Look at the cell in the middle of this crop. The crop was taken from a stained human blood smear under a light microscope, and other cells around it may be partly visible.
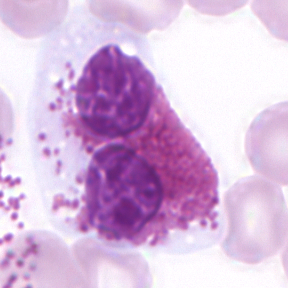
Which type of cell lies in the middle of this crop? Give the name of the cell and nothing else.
eosinophil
